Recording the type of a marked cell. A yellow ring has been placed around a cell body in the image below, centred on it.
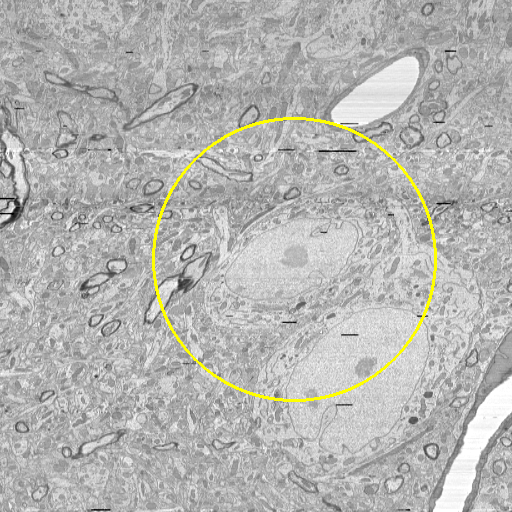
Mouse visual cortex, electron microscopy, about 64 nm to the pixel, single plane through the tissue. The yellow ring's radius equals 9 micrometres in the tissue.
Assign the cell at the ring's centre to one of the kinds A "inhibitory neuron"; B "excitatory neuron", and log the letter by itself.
A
